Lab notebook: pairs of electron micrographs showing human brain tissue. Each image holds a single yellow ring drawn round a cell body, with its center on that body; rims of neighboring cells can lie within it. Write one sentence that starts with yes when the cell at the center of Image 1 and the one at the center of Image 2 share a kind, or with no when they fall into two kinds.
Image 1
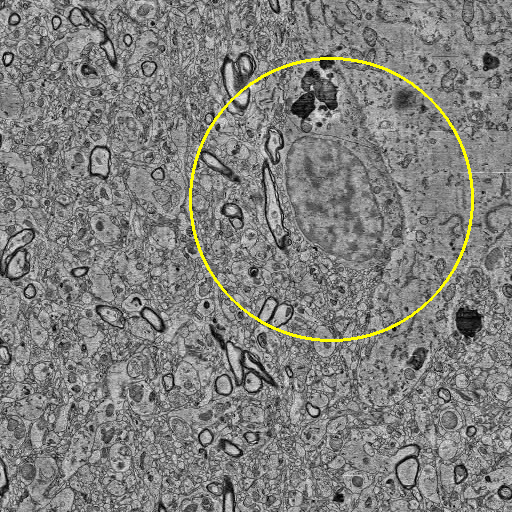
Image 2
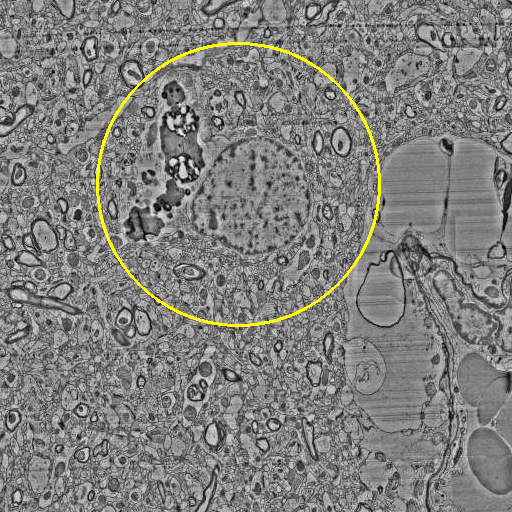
No, the centered cell in Image 1 and the centered cell in Image 2 are of two kinds.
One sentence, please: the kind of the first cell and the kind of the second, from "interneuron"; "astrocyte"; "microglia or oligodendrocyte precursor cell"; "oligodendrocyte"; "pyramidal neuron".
The ring in the first picture surrounds an oligodendrocyte, and the ring in the second surrounds an astrocyte.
